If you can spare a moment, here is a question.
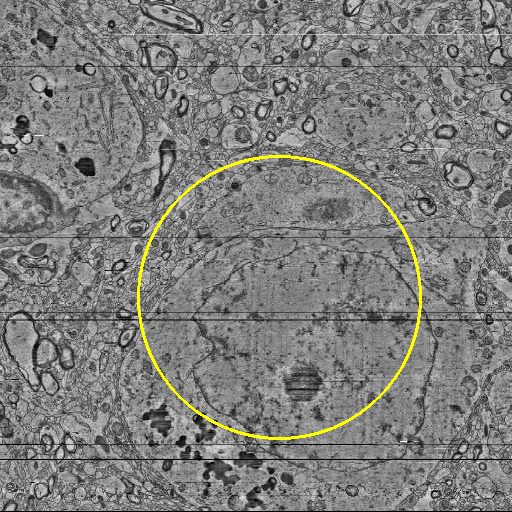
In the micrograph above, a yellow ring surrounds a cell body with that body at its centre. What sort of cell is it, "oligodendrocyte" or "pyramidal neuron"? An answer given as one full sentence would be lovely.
Centred inside the yellow ring, the cell body shown belongs to a pyramidal neuron in this micrograph.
